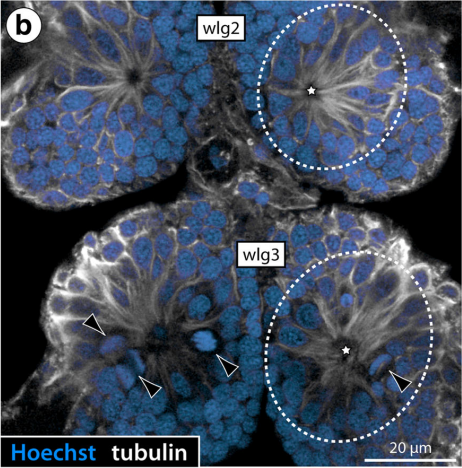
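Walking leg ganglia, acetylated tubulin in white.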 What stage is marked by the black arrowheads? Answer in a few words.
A: Mitoses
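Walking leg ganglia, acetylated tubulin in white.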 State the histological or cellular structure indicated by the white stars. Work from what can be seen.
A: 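Central cavity. White fibrous processes radiate toward the point marked by each star. Nuclei are arranged in a ring around that point, leaving its center free of nuclei.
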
